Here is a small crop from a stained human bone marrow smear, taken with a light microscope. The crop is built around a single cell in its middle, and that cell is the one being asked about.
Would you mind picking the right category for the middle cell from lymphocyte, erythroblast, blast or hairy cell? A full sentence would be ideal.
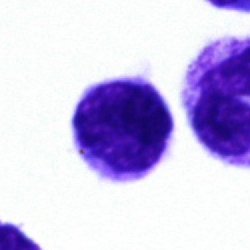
The cell in the exact centre of the crop is a lymphocyte.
